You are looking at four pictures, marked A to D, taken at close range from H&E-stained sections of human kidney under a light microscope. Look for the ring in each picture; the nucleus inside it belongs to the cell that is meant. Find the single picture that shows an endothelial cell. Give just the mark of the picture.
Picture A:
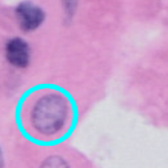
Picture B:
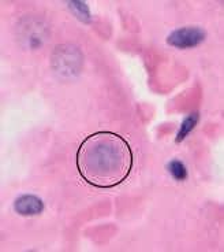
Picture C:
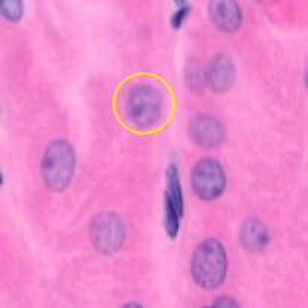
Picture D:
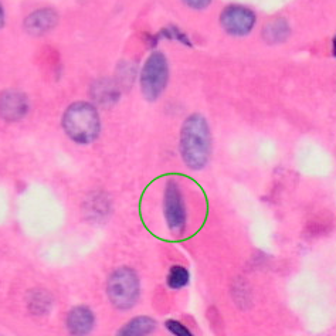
D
